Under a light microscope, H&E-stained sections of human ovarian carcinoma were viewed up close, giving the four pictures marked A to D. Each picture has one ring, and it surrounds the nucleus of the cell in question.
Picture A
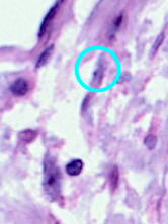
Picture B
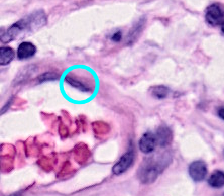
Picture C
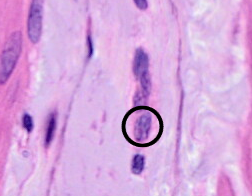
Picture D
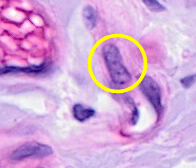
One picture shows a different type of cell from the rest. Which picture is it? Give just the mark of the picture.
A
